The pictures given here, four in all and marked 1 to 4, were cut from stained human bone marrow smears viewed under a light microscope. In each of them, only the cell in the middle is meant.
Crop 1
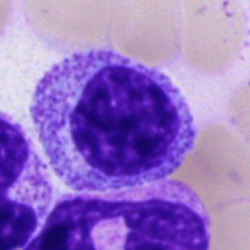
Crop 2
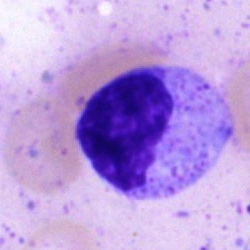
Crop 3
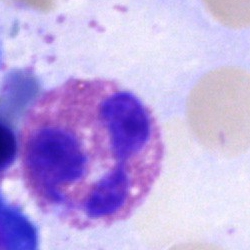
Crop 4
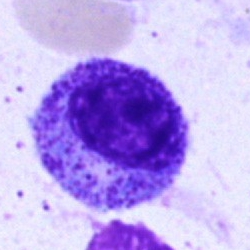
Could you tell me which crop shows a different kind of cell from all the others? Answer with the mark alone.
3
